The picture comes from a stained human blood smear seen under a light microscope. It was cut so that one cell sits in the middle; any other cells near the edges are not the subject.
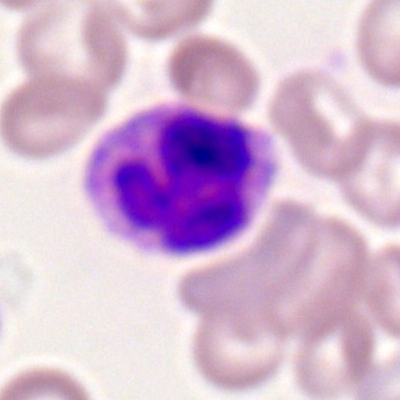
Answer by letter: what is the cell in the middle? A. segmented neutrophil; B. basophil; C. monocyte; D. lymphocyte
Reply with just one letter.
B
